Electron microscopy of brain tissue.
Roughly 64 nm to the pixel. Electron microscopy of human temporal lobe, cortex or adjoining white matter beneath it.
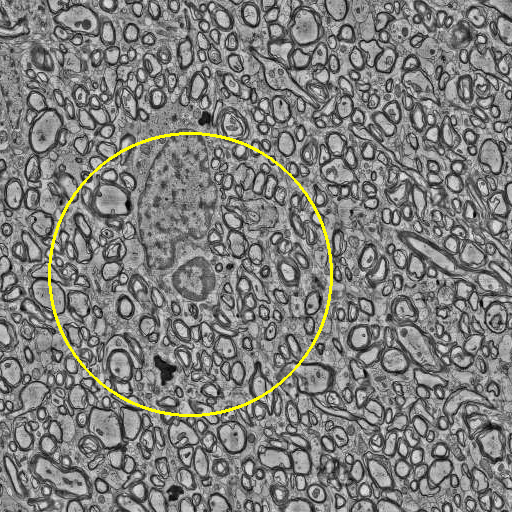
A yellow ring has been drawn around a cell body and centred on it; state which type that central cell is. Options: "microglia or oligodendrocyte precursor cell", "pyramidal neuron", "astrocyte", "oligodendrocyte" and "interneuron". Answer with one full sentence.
The cell at the middle of the yellow ring is a microglial cell or oligodendrocyte precursor cell in this picture.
